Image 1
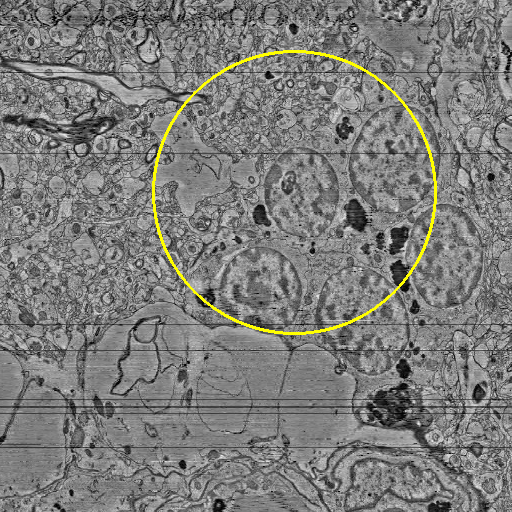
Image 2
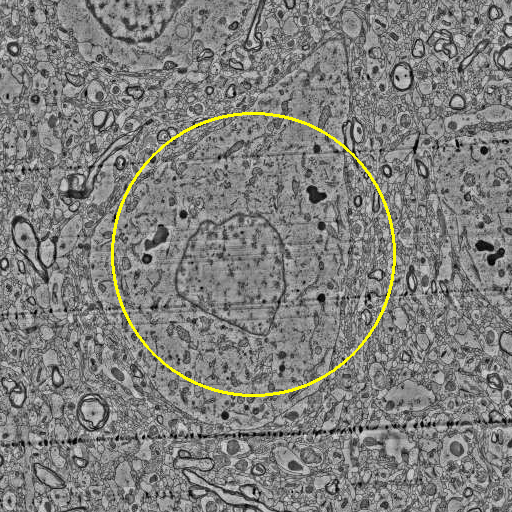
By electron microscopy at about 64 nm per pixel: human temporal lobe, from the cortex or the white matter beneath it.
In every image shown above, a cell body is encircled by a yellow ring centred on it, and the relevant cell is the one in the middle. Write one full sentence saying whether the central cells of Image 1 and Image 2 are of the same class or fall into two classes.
The cell at the ring's centre in Image 1 and its counterpart in Image 2 fall into two classes.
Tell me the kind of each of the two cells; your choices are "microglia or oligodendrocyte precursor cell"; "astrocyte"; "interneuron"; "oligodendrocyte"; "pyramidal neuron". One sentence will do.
The ringed cell is an oligodendrocyte in the first picture and a pyramidal neuron in the second picture.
